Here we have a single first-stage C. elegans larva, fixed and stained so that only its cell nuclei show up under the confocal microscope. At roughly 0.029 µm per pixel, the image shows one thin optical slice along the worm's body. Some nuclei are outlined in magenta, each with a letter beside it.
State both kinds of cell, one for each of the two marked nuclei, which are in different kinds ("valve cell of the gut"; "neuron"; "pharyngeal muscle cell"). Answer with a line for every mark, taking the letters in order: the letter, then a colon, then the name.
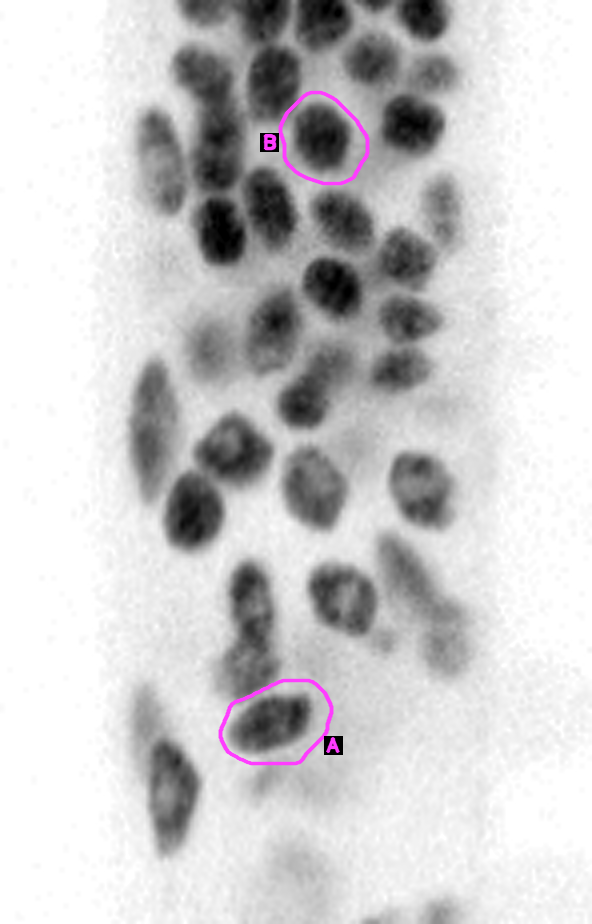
A: valve cell of the gut
B: neuron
